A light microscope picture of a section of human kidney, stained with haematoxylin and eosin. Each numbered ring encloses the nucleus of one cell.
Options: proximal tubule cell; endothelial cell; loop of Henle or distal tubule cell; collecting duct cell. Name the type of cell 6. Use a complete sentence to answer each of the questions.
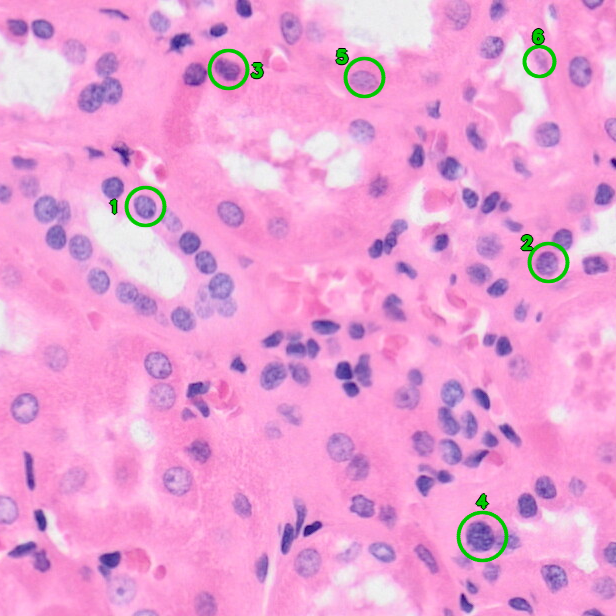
Denoted by the label 6 in the section is a loop of Henle or distal tubule cell.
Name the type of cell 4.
To a loop of Henle or distal tubule cell belongs the nucleus marked 4.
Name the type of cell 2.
The cell given label 2 is a loop of Henle or distal tubule cell.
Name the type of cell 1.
Number 1 is placed on a collecting duct cell here.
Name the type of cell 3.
The one labeled 3 is a proximal tubule cell, to put it simply.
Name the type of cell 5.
In the tissue shown, cell 5 is a proximal tubule cell.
